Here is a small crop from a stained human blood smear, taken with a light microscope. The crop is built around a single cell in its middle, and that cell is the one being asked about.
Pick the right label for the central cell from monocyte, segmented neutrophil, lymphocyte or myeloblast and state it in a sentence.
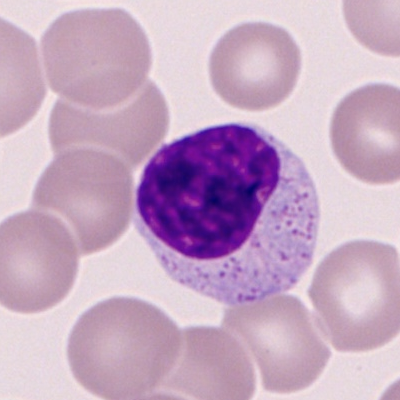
At the crop's centre, the cell is a lymphocyte.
